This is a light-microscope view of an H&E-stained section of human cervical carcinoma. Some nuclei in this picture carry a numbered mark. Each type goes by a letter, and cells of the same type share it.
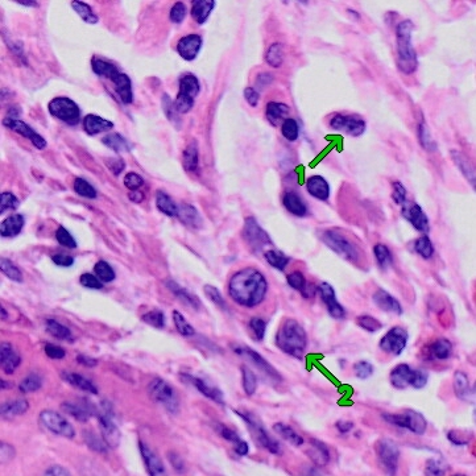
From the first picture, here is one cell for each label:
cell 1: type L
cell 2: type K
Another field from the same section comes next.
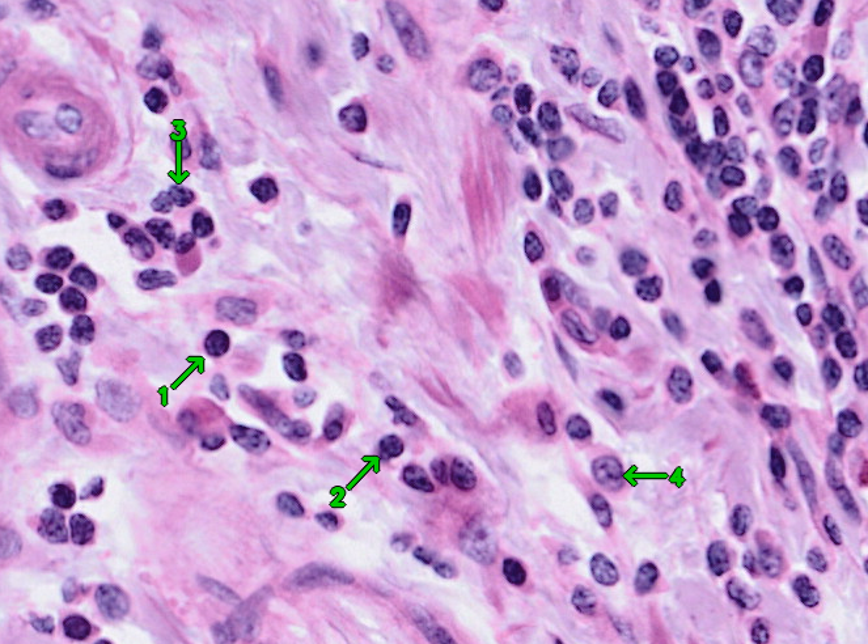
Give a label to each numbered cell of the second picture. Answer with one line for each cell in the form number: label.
1: type L
2: type L
3: type L
4: type K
